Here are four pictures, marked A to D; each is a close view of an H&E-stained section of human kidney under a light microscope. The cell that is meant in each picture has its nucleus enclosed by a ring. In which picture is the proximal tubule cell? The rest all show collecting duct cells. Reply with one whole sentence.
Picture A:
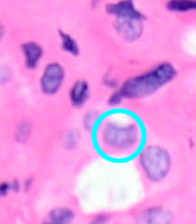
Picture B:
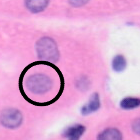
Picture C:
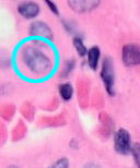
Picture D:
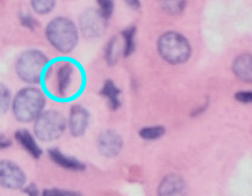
The proximal tubule cell is the one in picture B.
